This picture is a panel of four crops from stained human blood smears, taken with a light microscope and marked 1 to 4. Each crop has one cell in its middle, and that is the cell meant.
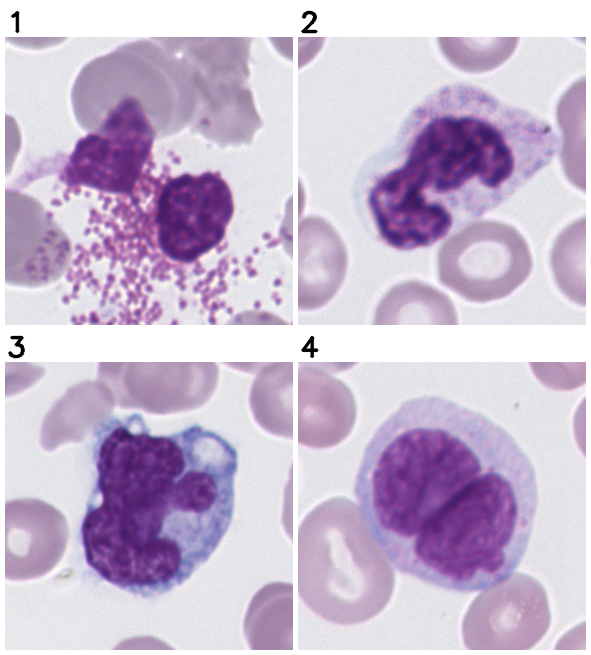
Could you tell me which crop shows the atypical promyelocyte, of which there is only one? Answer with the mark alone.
4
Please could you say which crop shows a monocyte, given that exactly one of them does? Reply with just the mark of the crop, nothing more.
3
